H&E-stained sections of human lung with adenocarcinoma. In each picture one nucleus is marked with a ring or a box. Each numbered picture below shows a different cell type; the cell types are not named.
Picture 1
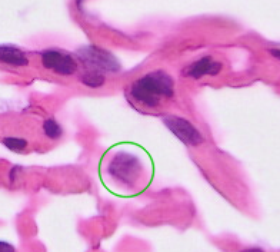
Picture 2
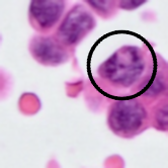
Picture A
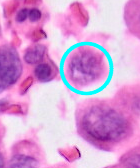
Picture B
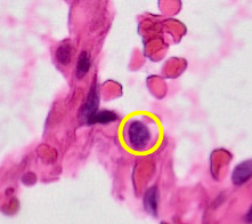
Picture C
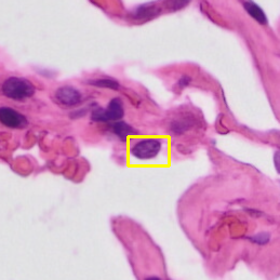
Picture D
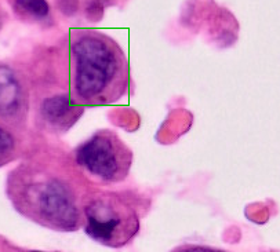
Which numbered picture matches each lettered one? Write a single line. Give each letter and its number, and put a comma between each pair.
A 2, B 1, C 1, D 2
